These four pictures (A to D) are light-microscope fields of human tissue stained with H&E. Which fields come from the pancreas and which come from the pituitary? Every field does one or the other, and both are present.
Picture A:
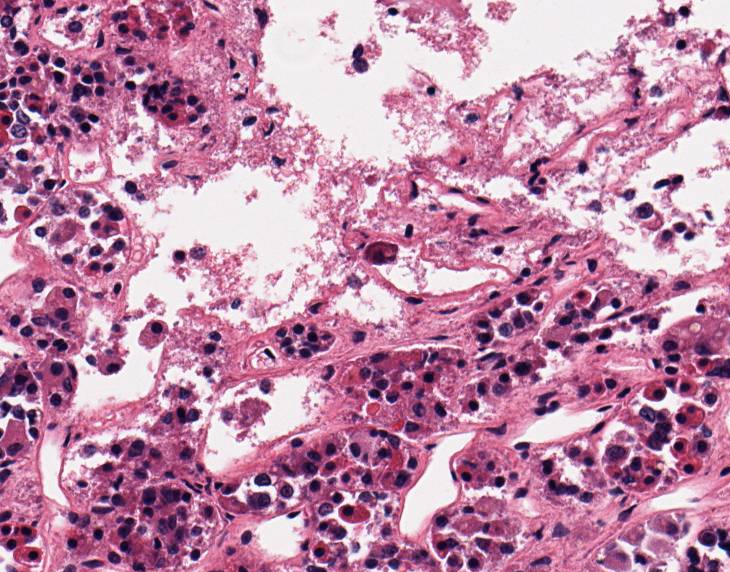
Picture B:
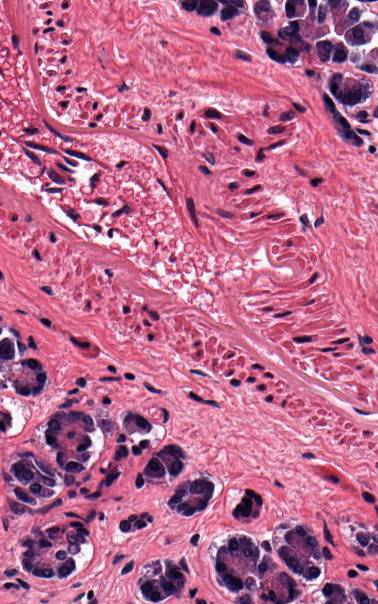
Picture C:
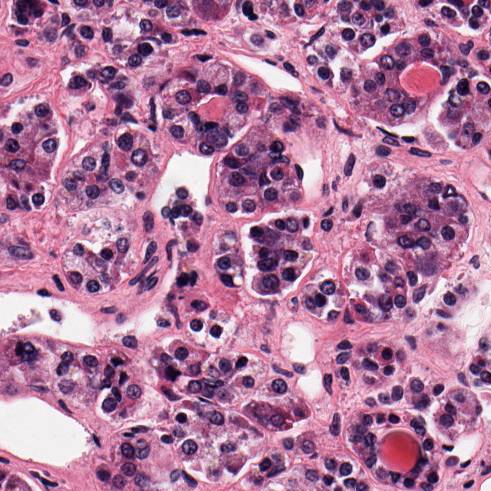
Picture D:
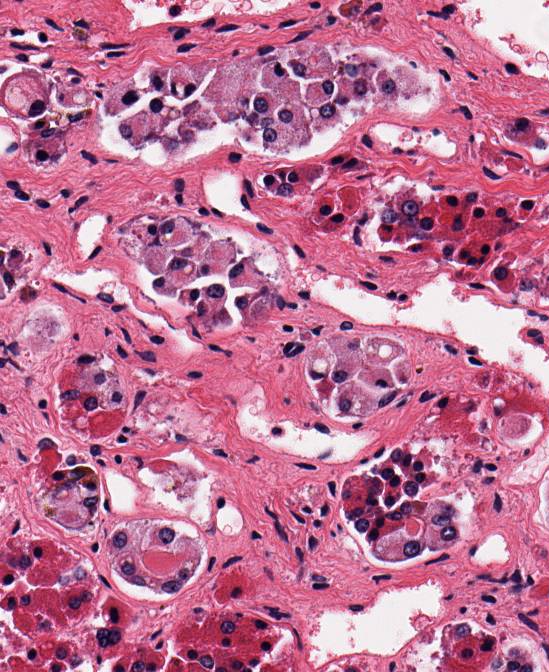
A: pituitary
B: pancreas
C: pituitary
D: pituitary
